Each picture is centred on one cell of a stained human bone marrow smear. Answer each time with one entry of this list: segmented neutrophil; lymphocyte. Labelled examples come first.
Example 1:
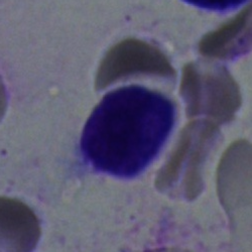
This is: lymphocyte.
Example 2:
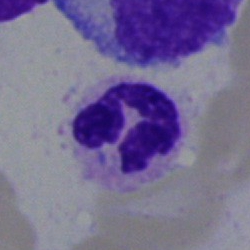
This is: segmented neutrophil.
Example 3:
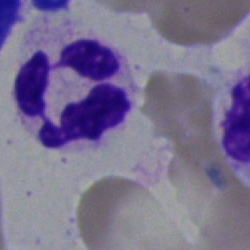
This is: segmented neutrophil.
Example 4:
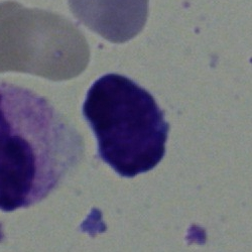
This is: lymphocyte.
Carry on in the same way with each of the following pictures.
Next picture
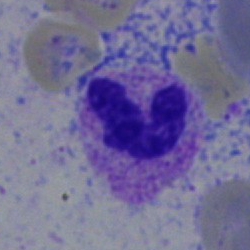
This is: segmented neutrophil.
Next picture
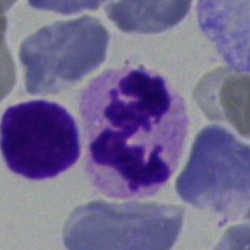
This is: segmented neutrophil.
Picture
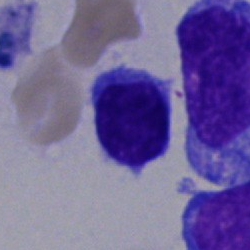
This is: lymphocyte.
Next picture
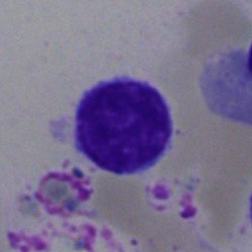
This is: lymphocyte.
